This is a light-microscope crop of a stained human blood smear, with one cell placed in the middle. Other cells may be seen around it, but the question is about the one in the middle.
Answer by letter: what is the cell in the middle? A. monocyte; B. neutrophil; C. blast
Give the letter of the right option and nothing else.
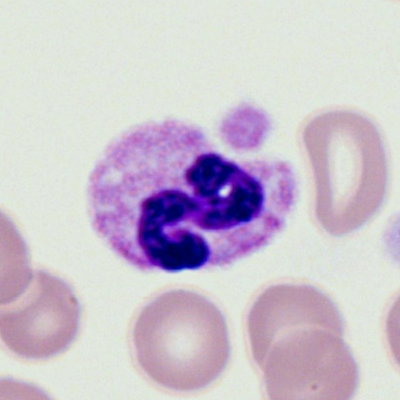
B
